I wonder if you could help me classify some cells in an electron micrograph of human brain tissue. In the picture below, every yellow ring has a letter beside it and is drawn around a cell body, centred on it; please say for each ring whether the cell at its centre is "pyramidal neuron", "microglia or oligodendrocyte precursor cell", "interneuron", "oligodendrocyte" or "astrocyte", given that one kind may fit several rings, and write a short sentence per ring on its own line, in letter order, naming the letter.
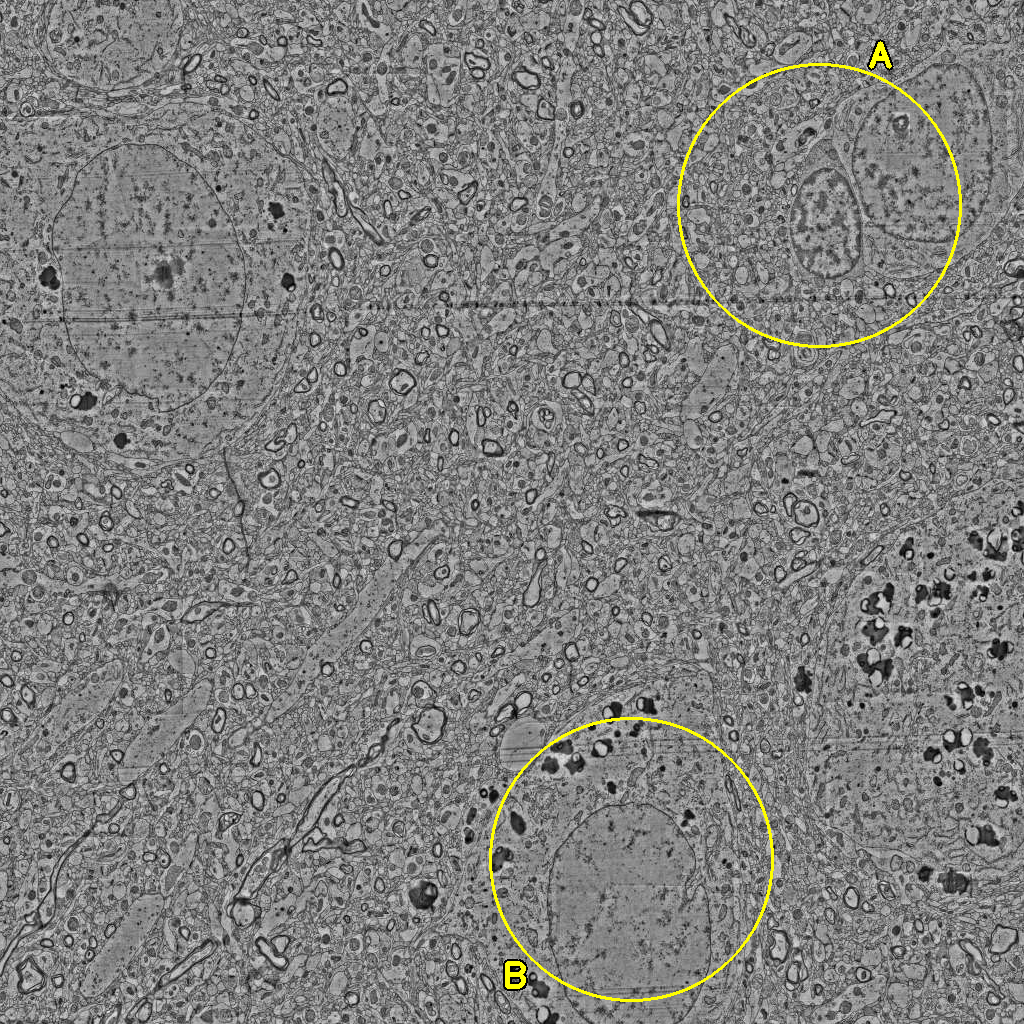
Centred in ring A is an oligodendrocyte.
Centred in ring B is a pyramidal neuron.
